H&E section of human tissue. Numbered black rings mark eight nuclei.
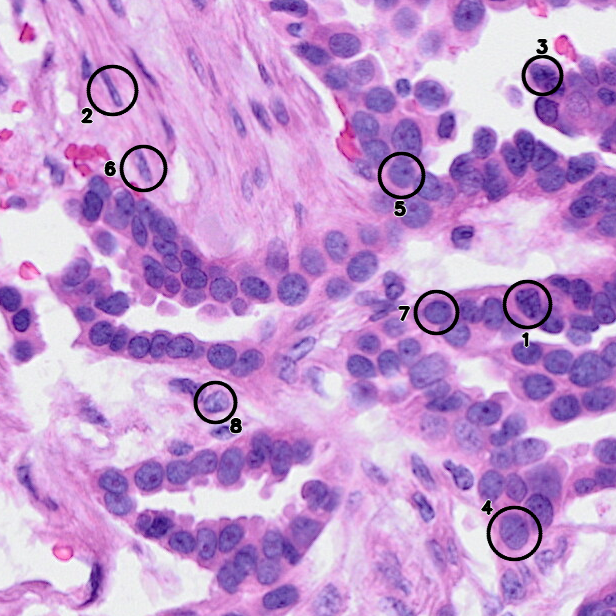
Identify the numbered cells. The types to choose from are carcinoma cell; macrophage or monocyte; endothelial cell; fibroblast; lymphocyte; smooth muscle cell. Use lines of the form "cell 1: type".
cell 1: carcinoma cell
cell 2: fibroblast
cell 3: carcinoma cell
cell 4: carcinoma cell
cell 5: carcinoma cell
cell 6: fibroblast
cell 7: carcinoma cell
cell 8: fibroblast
